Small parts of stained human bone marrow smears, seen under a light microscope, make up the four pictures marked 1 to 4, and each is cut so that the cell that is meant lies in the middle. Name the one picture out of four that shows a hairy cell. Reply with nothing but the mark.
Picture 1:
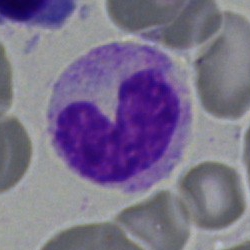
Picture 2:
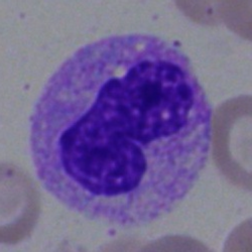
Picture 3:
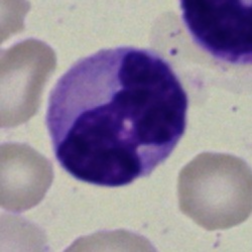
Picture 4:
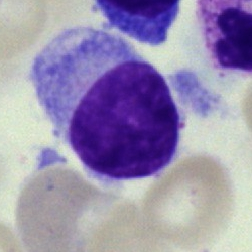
4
